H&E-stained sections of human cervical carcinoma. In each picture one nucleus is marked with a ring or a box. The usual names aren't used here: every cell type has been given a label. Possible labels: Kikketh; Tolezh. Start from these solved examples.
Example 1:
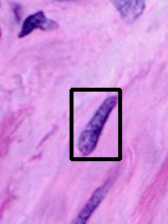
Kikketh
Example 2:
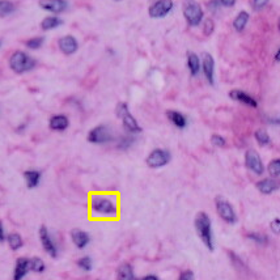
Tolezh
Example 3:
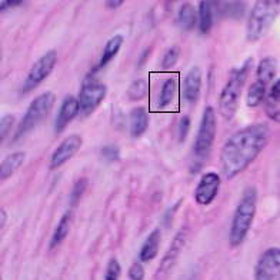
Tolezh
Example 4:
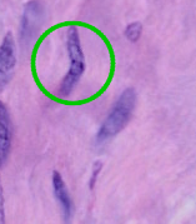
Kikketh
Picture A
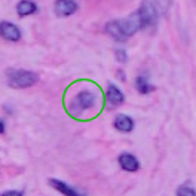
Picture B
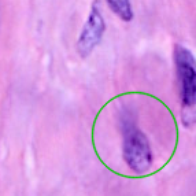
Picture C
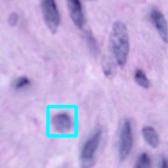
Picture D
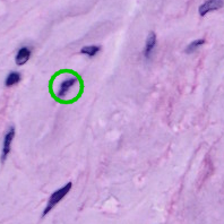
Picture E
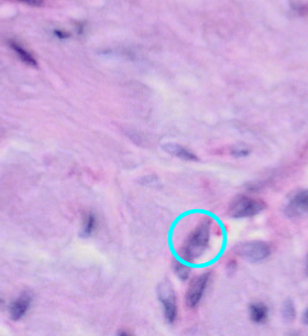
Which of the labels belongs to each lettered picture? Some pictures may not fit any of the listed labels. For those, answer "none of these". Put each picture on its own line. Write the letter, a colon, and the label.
A: Tolezh
B: Kikketh
C: Kikketh
D: Kikketh
E: none of these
